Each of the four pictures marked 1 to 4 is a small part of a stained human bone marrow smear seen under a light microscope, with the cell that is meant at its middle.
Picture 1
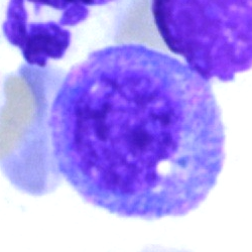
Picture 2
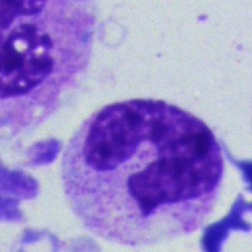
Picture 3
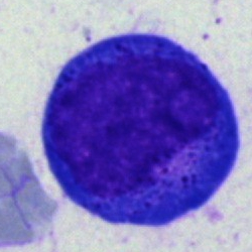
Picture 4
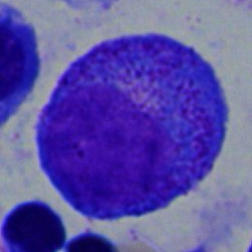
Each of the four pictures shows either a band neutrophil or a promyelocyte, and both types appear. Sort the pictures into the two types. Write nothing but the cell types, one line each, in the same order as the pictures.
promyelocyte
band neutrophil
promyelocyte
promyelocyte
